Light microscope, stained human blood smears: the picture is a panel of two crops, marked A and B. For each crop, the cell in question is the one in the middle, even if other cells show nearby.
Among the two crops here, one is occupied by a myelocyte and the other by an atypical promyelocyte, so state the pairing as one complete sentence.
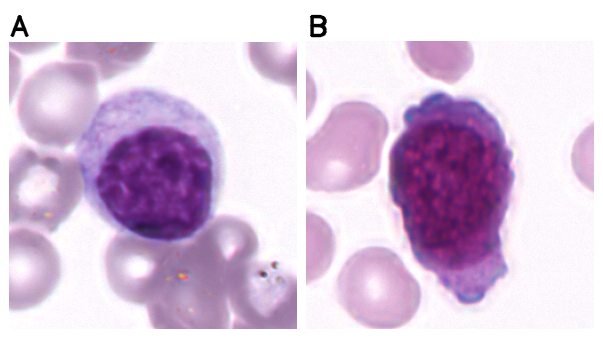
Well, crop A is a myelocyte, and crop B is an atypical promyelocyte.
